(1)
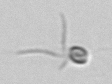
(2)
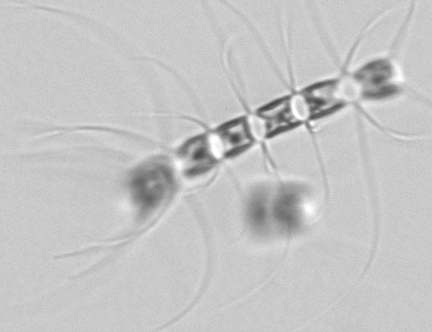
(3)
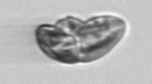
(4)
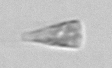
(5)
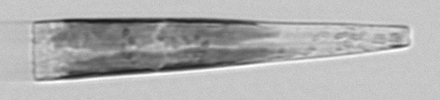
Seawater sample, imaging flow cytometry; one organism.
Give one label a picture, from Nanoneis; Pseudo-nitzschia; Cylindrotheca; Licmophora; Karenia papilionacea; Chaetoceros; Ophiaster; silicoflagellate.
Picture 1: Ophiaster
Picture 2: Chaetoceros
Picture 3: Karenia papilionacea
Picture 4: Licmophora
Picture 5: Licmophora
